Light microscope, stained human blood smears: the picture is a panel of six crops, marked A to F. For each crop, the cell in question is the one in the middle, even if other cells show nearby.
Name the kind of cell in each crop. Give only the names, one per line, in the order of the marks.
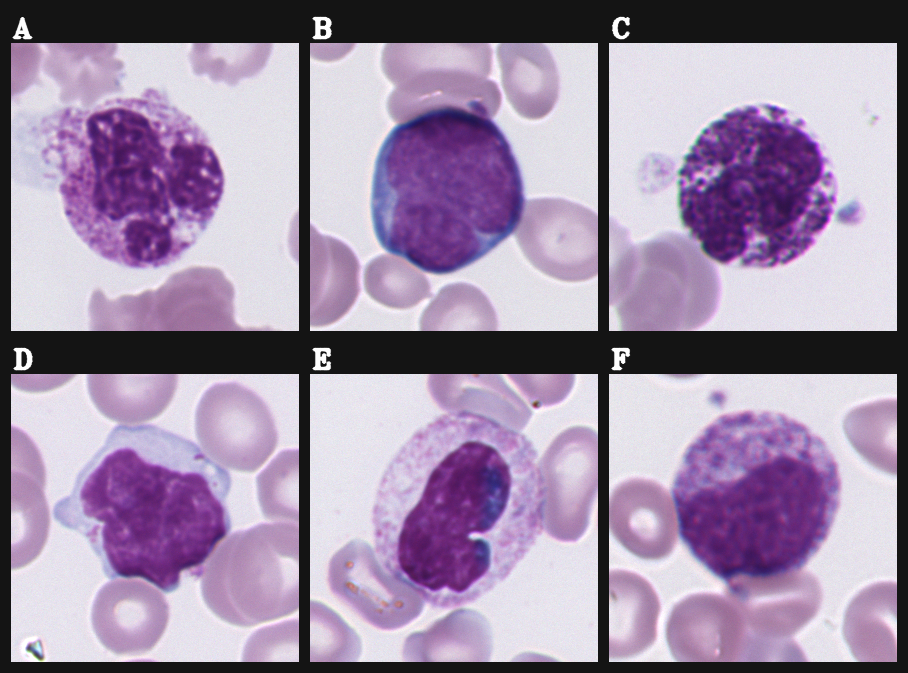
segmented neutrophil
myeloblast
basophil
large granular lymphocyte
band neutrophil
myelocyte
